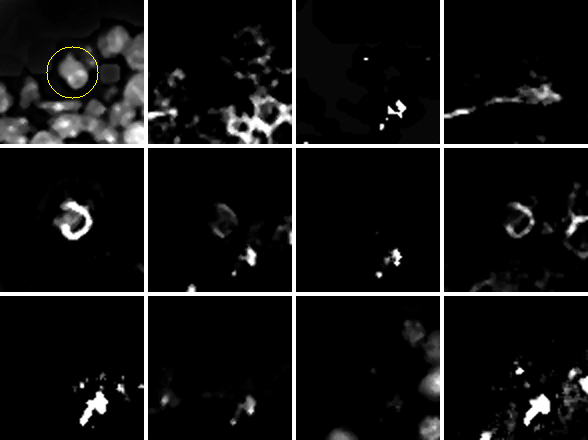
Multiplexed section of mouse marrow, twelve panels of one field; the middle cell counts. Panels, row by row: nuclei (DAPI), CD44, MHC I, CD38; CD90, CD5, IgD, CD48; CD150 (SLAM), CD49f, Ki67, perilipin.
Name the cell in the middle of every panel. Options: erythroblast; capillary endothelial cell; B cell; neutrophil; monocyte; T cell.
T cell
